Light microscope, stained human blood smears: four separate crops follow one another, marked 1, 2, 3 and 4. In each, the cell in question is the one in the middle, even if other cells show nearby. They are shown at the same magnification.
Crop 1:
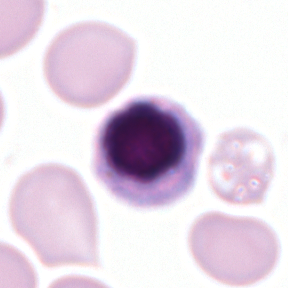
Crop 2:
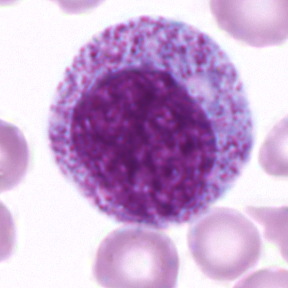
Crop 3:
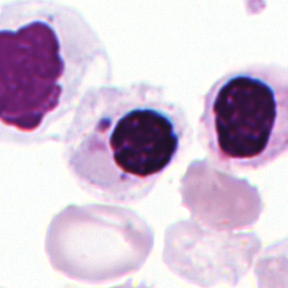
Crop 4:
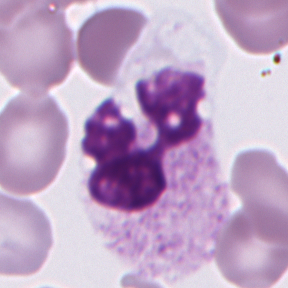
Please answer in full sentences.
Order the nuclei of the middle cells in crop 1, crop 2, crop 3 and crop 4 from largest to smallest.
Largest first: 2, 4, 1, 3.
